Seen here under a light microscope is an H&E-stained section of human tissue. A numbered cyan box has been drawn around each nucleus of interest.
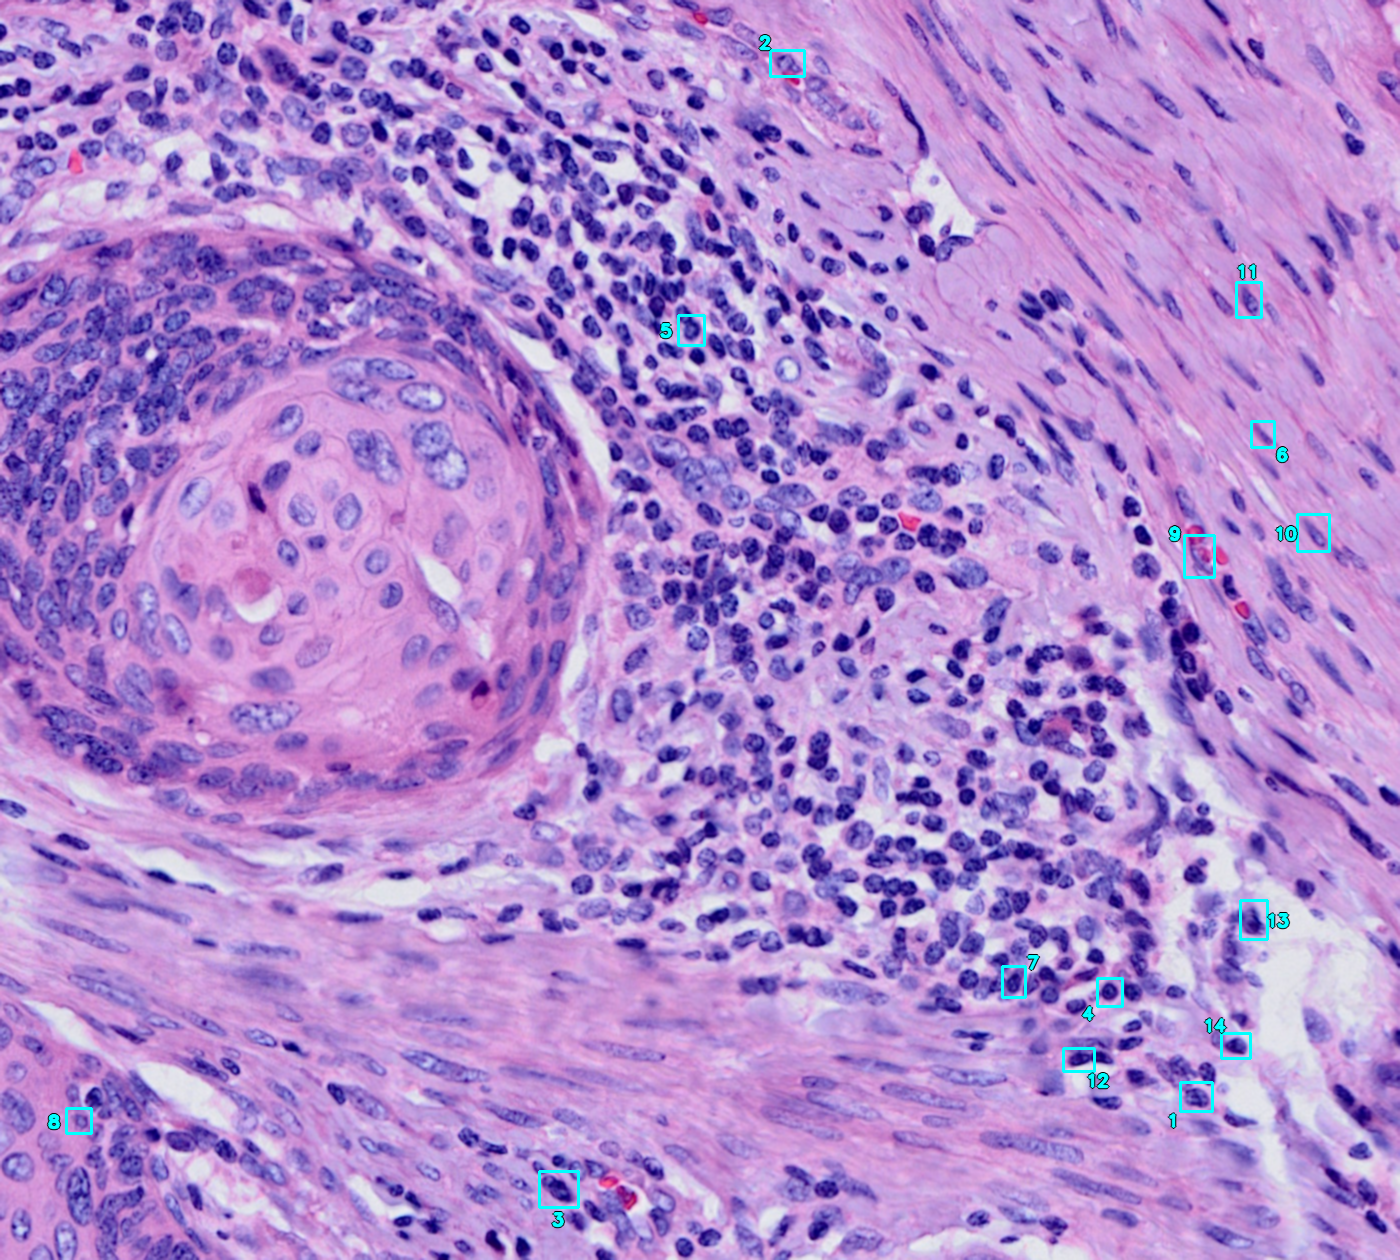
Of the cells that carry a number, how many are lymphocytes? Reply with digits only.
8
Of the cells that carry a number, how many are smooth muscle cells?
3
